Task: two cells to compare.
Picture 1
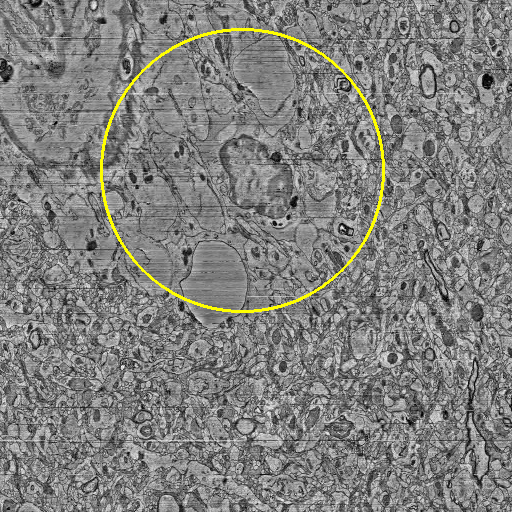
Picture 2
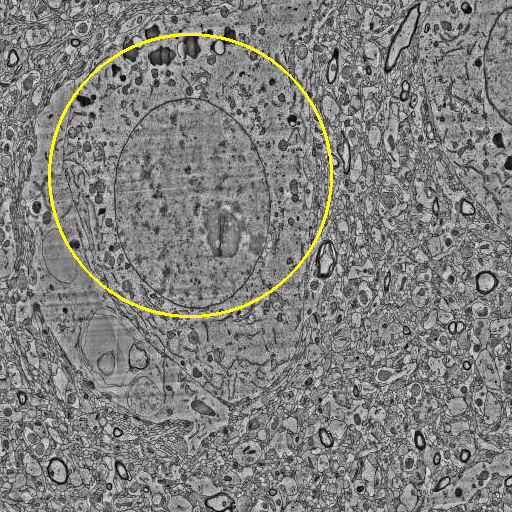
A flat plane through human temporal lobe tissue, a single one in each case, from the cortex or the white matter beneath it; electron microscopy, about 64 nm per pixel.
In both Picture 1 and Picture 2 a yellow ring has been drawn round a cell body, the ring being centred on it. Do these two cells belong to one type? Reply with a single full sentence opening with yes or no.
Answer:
No, the two cells at the ring centres in Picture 1 and Picture 2 are of two types.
